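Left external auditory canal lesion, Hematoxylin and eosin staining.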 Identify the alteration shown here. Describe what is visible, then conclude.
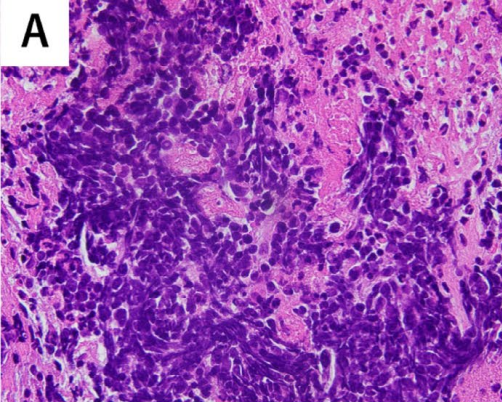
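Sheets and nests of densely packed small cells with round to oval nuclei. Nuclei are dark purple and crowd the cells. Pink stroma separates the cell clusters.
Conclusion: small round cell tumors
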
